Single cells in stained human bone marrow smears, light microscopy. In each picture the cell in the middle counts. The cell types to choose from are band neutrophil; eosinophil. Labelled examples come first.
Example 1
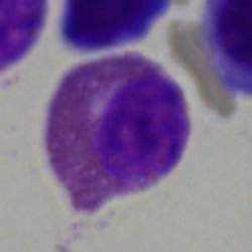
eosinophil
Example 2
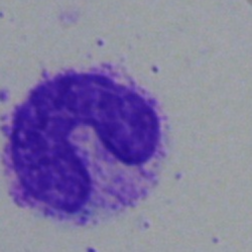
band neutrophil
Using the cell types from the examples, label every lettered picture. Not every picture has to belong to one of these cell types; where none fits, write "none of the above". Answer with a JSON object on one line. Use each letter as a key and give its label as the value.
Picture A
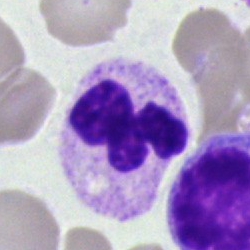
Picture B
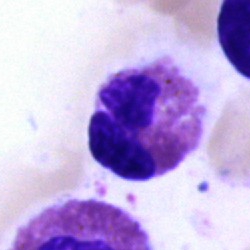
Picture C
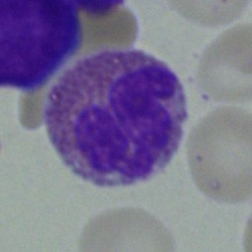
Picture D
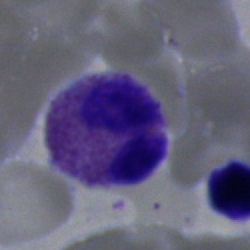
{"A": "none of the above", "B": "eosinophil", "C": "eosinophil", "D": "eosinophil"}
